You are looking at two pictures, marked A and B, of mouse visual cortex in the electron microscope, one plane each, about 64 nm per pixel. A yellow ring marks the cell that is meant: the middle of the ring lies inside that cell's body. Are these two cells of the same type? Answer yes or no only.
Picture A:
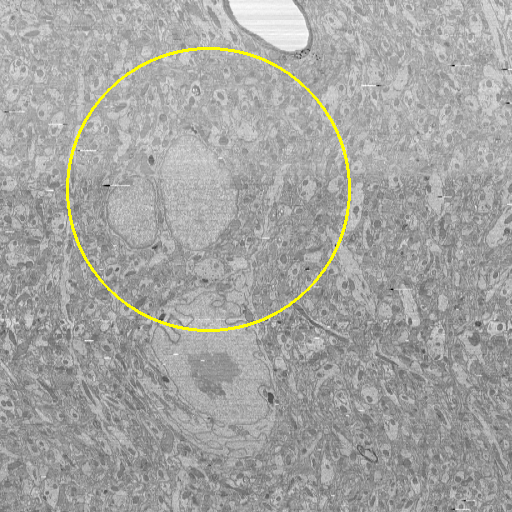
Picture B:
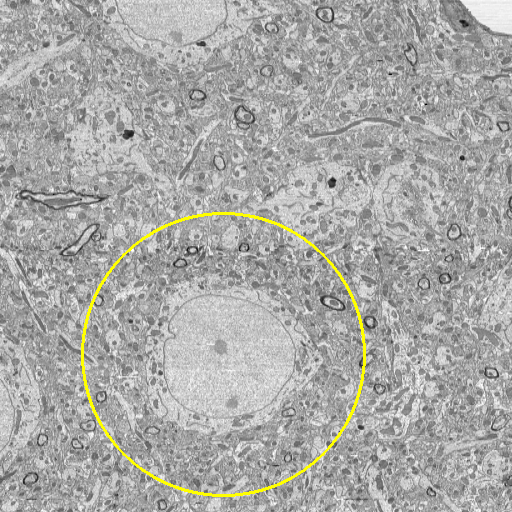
no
